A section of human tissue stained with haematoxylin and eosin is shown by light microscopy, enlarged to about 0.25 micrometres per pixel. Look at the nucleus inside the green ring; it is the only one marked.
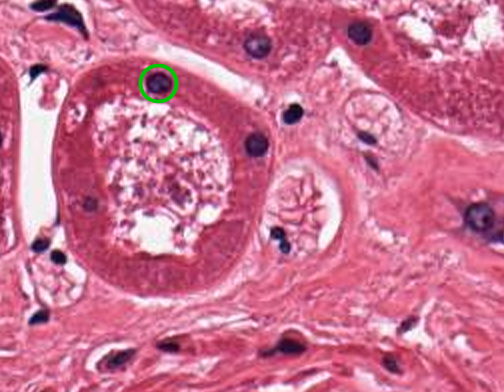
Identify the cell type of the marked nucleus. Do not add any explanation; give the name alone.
proximal tubule cell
